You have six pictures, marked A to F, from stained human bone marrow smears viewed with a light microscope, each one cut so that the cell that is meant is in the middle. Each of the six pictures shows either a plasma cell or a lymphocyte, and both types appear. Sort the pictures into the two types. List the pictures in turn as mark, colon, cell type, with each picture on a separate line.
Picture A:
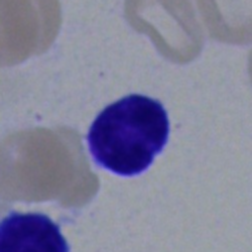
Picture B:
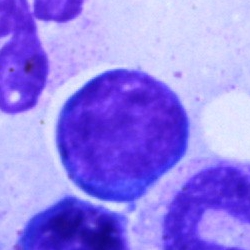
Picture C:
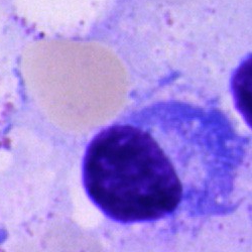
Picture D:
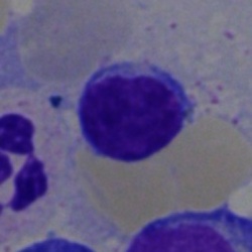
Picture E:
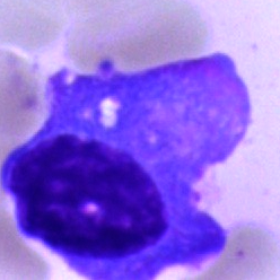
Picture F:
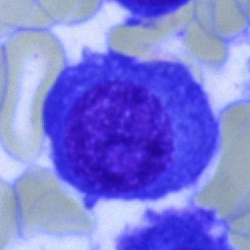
A: lymphocyte
B: lymphocyte
C: plasma cell
D: lymphocyte
E: plasma cell
F: plasma cell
